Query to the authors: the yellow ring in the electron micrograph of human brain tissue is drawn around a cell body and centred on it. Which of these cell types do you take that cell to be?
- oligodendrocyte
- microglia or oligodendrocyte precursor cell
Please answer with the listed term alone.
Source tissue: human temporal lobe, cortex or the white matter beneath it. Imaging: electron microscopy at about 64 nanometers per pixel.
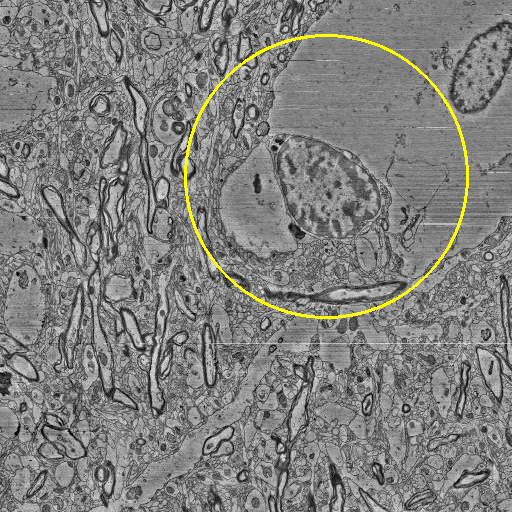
microglia or oligodendrocyte precursor cell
